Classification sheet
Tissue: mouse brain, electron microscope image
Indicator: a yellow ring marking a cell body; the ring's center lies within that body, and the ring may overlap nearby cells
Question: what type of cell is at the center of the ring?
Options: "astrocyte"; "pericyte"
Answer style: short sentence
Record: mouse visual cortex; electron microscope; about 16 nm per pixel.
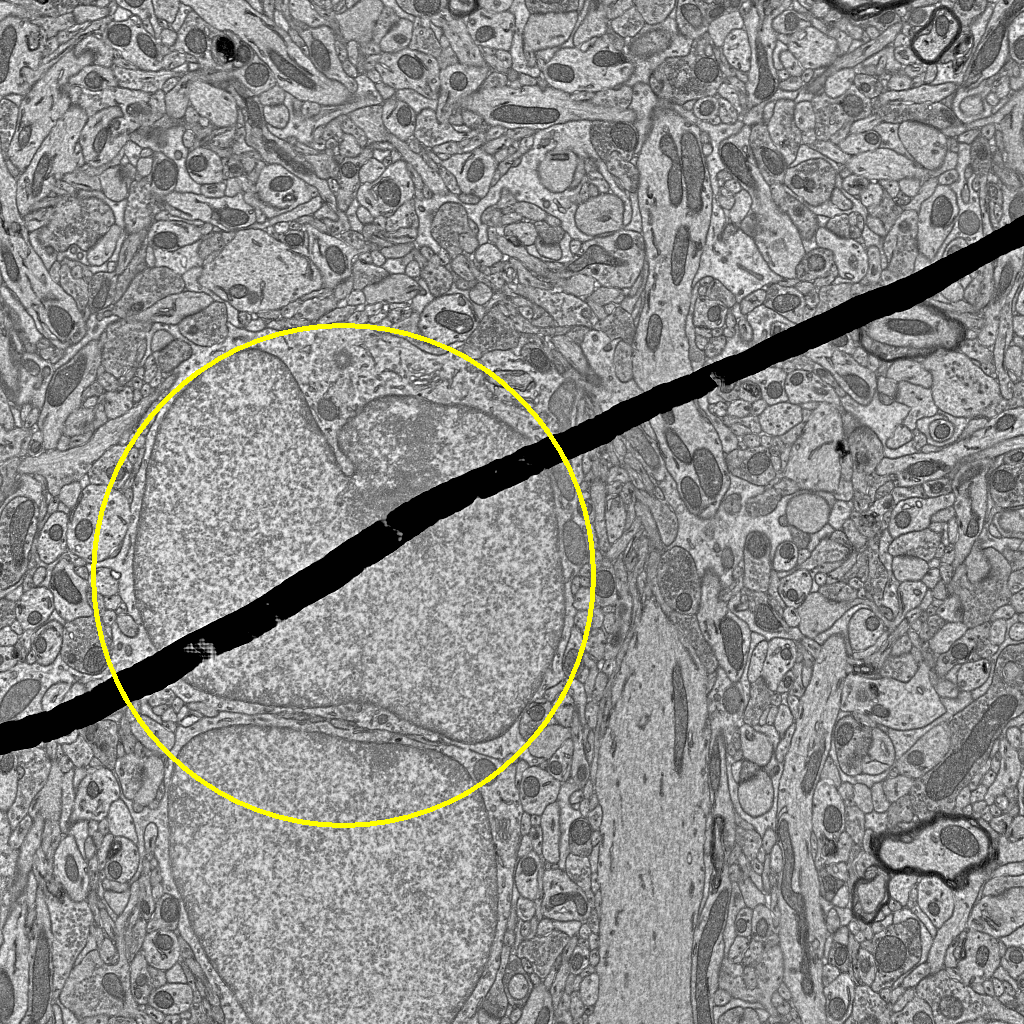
At the ring's center is an astrocyte.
